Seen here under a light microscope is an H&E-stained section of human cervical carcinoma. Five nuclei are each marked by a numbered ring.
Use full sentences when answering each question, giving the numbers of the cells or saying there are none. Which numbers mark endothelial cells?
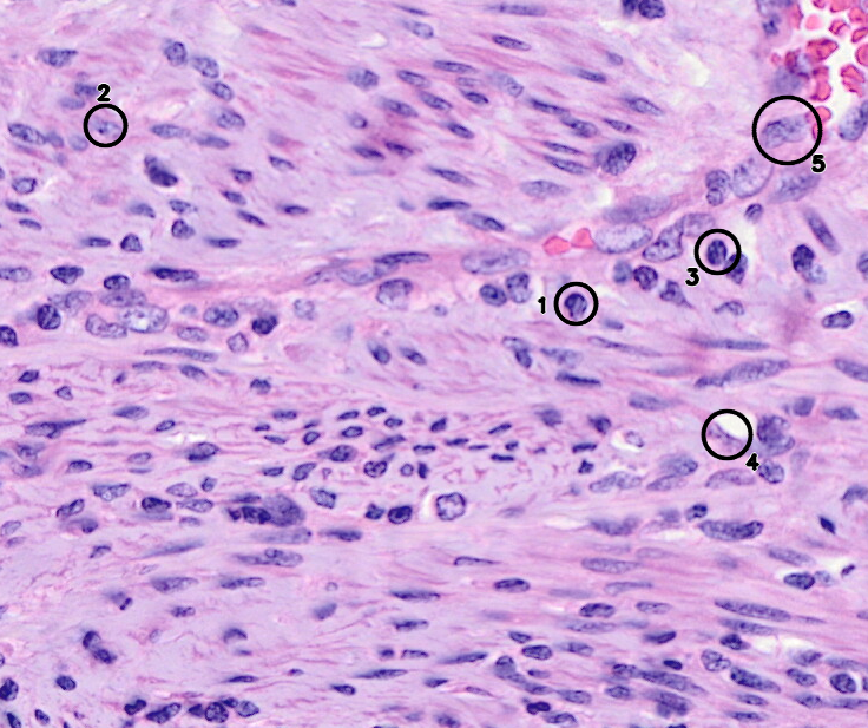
Within this tissue, the cells numbered 4 and 5 are endothelial cells.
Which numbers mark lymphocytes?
The cells labelled 1 and 3 in this section are lymphocytes.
